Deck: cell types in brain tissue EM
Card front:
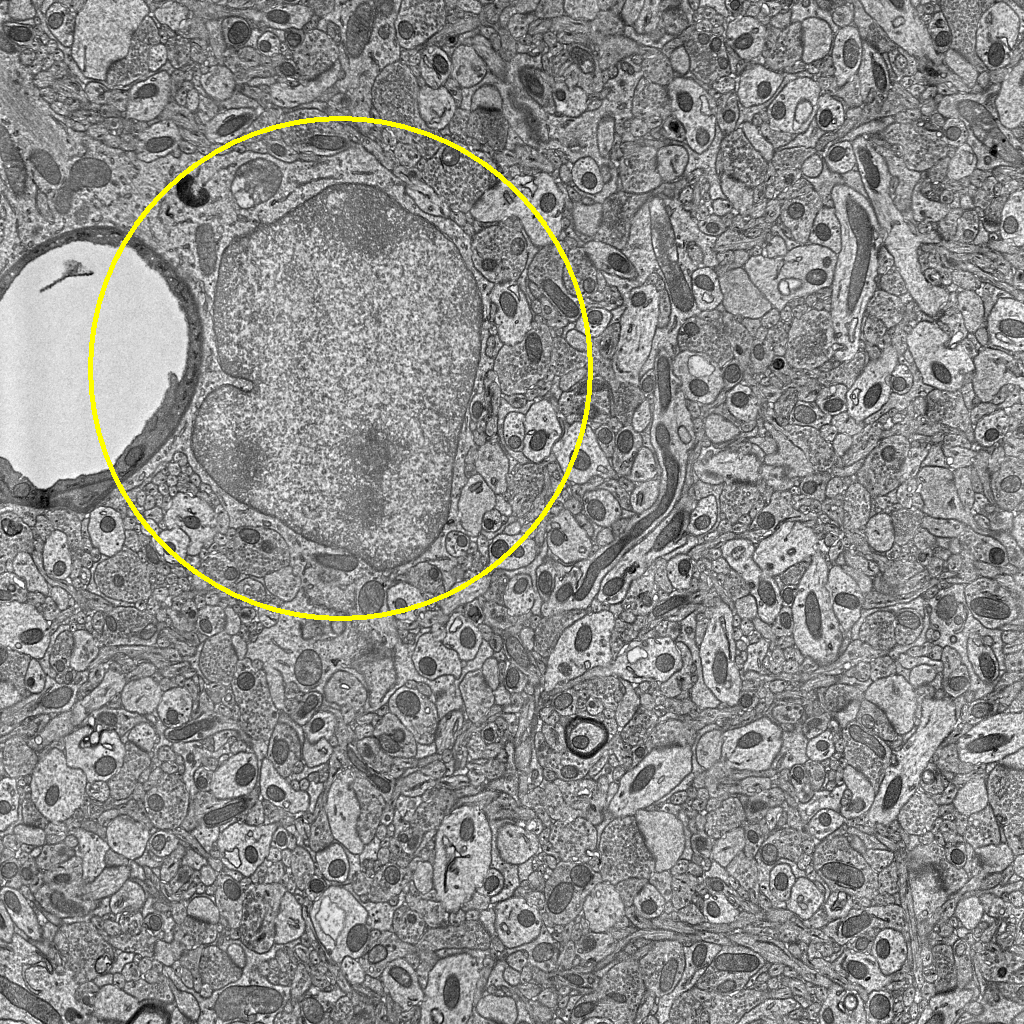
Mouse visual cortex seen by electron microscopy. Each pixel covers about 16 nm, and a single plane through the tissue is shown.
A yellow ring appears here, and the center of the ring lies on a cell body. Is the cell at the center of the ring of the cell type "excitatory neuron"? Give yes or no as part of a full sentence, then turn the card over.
No, on this card the center of the yellow ring lies on a cell of a different type.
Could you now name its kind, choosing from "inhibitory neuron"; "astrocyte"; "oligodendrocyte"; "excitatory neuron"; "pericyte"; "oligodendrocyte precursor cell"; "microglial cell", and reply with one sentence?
Instead, the cell at the centre of the ring is an astrocyte.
